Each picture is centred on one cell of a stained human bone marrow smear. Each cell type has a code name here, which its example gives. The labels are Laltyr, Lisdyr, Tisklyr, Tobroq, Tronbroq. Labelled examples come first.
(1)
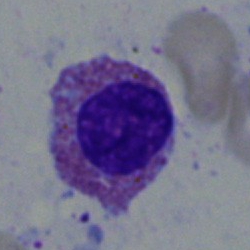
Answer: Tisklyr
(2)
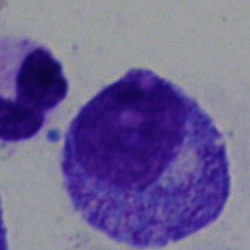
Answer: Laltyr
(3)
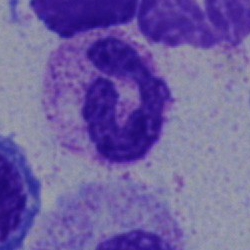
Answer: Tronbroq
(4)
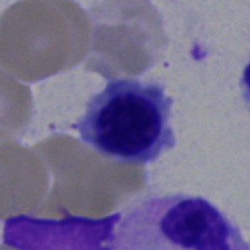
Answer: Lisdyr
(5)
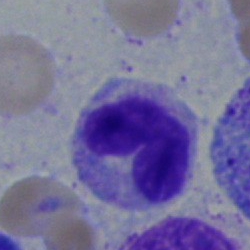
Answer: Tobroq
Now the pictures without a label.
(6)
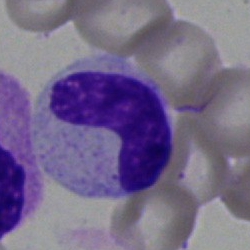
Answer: Tobroq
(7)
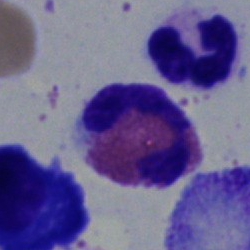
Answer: Tisklyr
